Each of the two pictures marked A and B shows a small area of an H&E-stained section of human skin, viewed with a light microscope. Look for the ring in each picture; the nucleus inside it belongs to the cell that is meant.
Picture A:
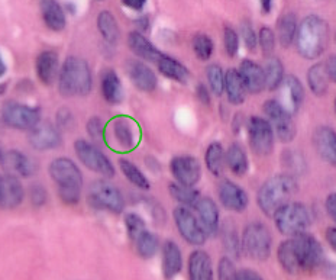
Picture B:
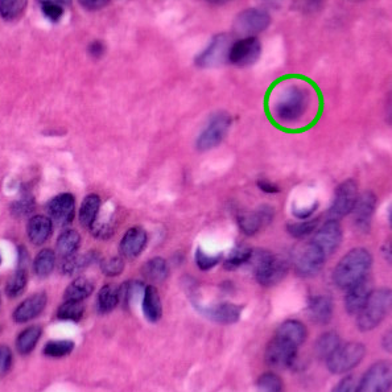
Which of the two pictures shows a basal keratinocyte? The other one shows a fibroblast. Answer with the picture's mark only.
A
